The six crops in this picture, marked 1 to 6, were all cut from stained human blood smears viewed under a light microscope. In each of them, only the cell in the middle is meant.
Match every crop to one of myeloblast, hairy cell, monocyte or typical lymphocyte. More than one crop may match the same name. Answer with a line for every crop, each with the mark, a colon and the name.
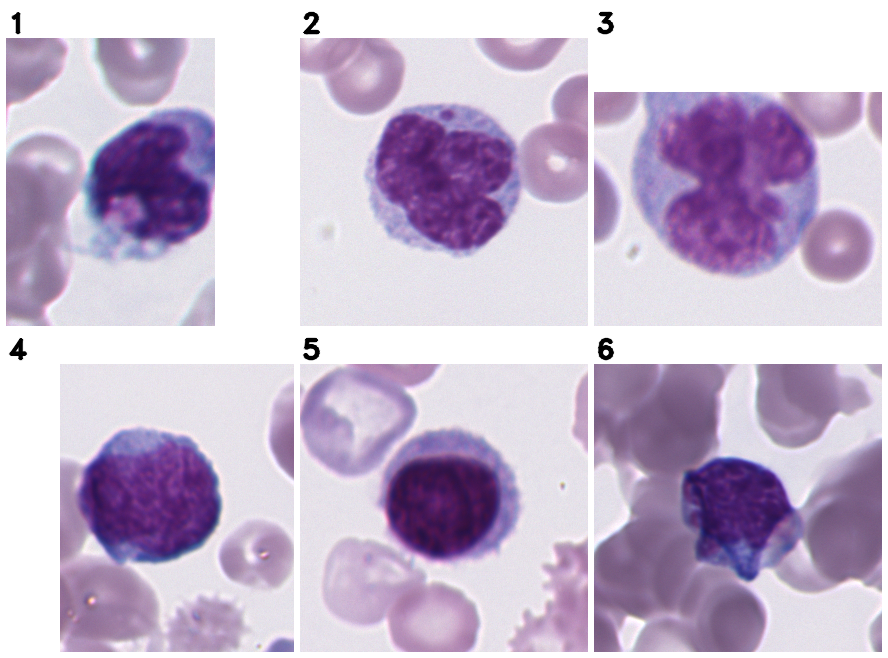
1: monocyte
2: monocyte
3: monocyte
4: myeloblast
5: hairy cell
6: typical lymphocyte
